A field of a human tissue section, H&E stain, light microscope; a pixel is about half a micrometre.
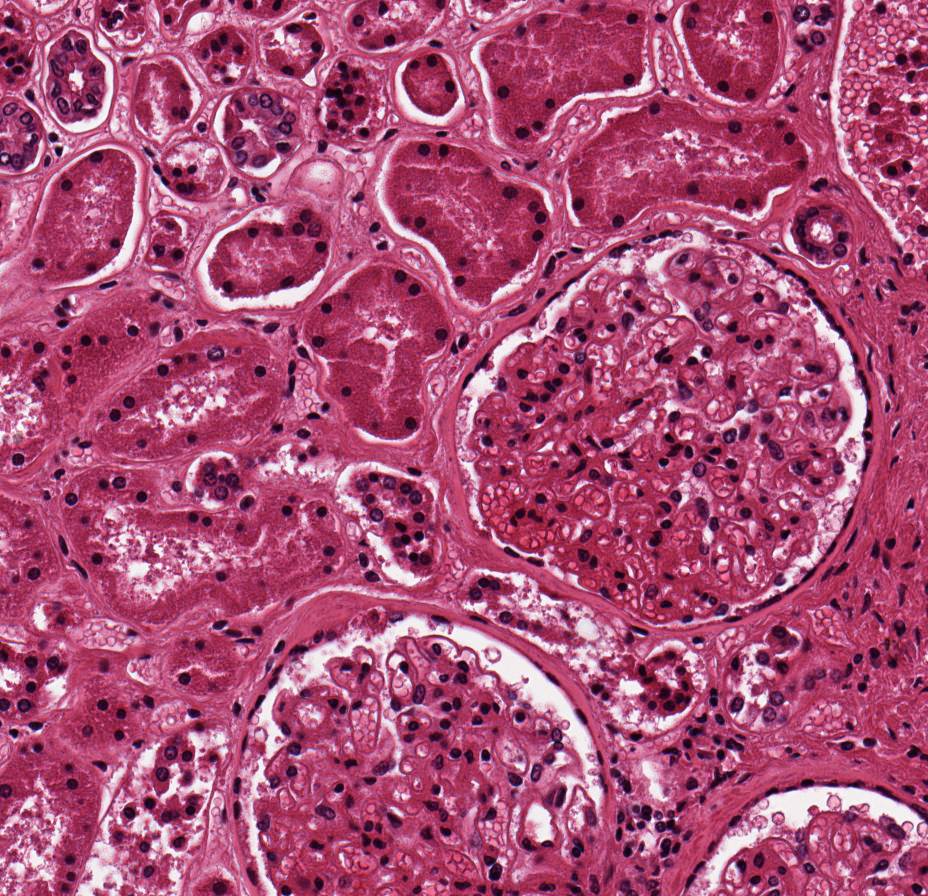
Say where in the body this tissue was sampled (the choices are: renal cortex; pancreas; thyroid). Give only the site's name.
renal cortex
